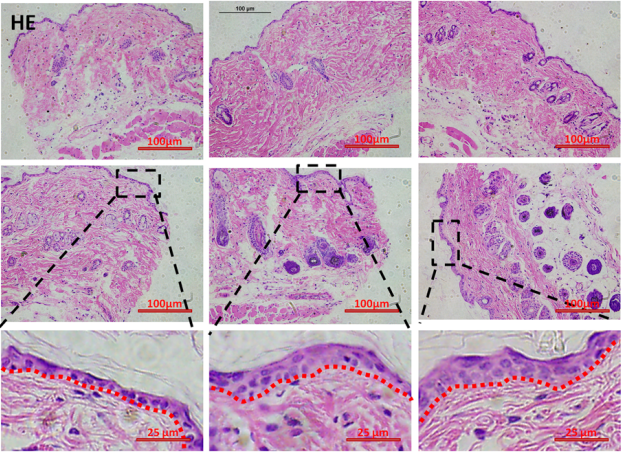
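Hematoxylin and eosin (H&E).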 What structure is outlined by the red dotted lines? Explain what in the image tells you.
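In the enlarged bottom row a red dotted line runs along the lower edge of a thin, densely nucleated purple surface layer. Below the line lies paler pink fibrous tissue with sparse nuclei. On this evidence: the boundary between the epidermis and the dermis.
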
